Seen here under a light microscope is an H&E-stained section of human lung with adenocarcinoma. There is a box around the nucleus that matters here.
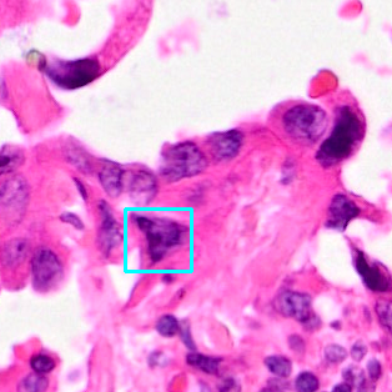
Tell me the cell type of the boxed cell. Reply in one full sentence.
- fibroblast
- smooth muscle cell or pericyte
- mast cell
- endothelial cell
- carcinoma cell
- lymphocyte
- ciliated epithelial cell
In this tissue sample, the boxed cell is a carcinoma cell.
